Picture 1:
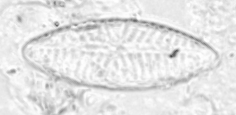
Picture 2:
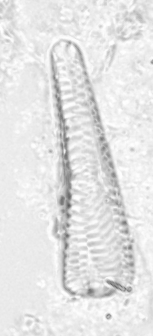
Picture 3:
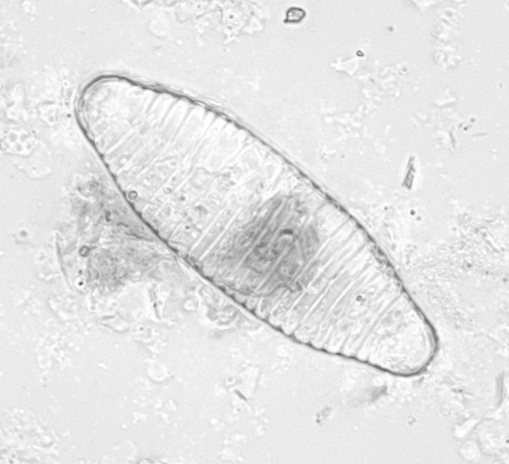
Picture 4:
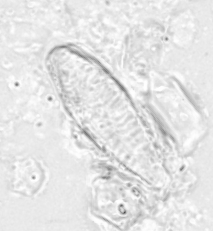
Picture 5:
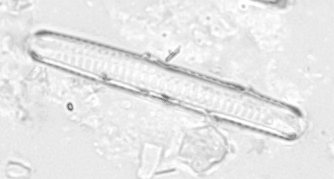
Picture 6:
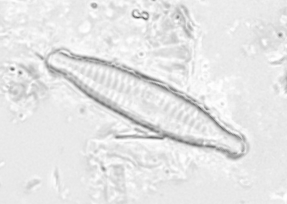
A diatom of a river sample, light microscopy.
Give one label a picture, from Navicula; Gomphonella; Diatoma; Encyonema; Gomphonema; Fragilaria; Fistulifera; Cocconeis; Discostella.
(1) Navicula
(2) Gomphonella
(3) Diatoma
(4) Gomphonema
(5) Navicula
(6) Fragilaria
